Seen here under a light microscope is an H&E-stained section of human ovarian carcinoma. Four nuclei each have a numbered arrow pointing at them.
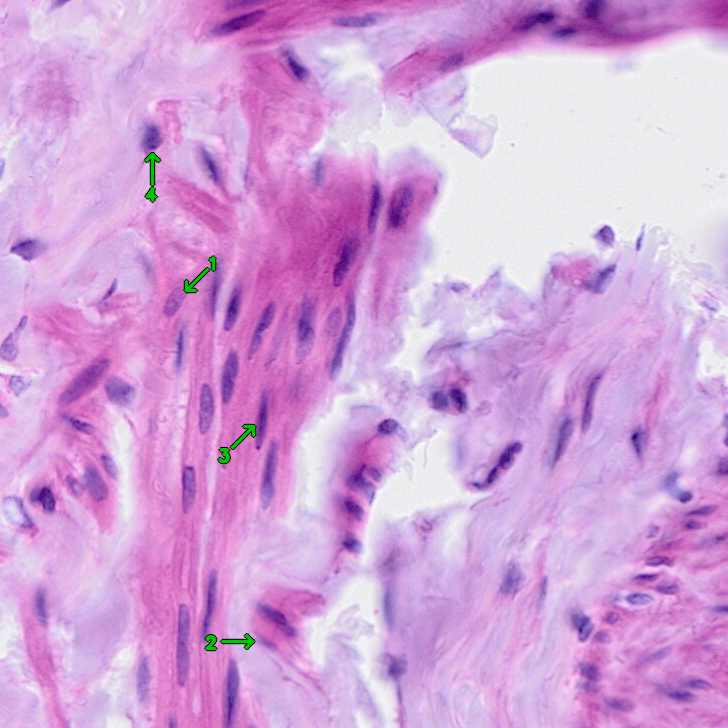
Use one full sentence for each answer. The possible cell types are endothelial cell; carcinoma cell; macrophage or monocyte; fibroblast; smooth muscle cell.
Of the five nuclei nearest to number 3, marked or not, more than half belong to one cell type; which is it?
Smooth muscle cells make up most of the five nuclei closest to number 3.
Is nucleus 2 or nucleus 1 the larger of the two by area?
Nucleus 1 covers more area, about 2.5 times as much as nucleus 2.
